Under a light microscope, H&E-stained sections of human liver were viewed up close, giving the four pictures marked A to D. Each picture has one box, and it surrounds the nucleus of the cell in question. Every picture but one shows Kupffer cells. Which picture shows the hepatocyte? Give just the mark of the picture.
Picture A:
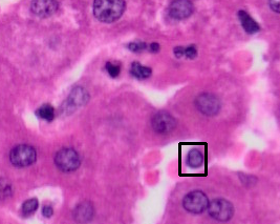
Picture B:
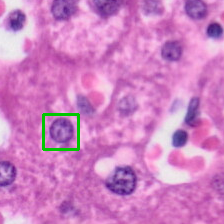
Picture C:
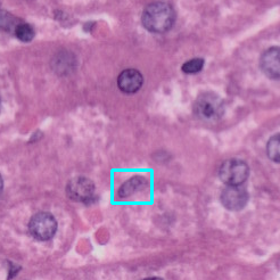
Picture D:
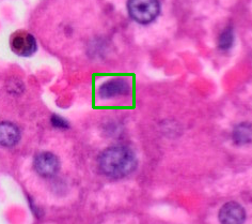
B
